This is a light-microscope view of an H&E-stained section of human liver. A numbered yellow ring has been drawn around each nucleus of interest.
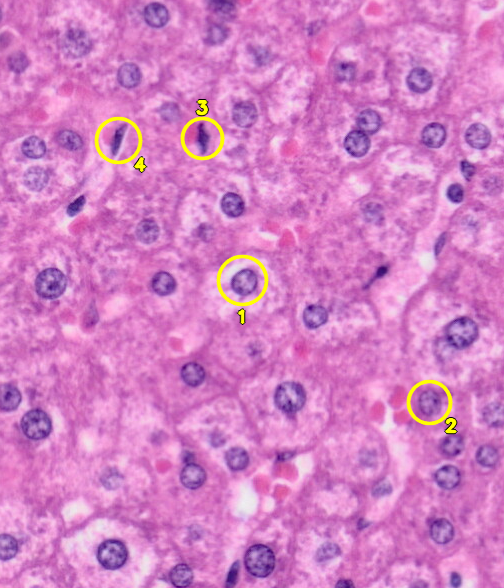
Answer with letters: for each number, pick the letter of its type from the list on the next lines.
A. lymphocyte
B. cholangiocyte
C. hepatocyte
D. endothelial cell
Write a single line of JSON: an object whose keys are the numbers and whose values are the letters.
{"1": "C", "2": "C", "3": "D", "4": "D"}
